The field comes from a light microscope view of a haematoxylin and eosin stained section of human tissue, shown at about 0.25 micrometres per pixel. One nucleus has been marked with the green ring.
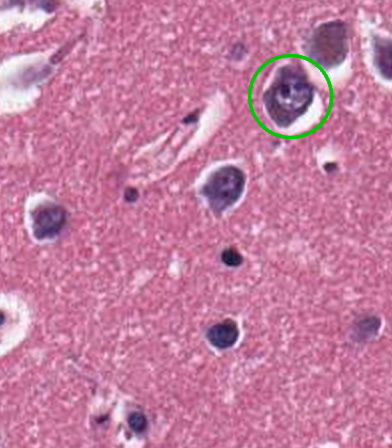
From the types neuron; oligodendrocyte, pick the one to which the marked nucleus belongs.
neuron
